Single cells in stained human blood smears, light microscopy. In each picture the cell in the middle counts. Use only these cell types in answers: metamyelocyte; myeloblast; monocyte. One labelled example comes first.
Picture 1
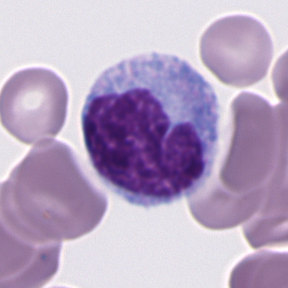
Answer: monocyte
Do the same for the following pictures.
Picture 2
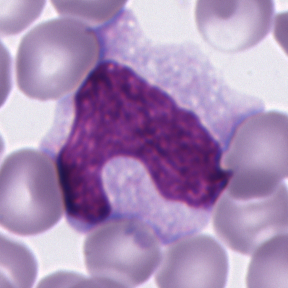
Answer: monocyte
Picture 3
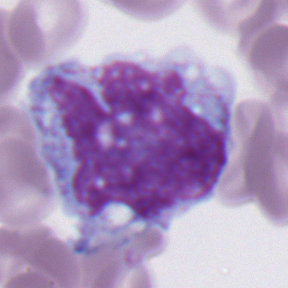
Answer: monocyte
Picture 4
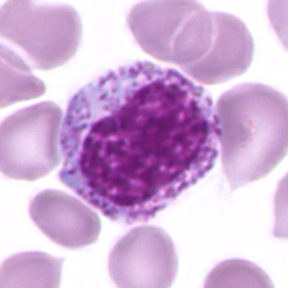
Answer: metamyelocyte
